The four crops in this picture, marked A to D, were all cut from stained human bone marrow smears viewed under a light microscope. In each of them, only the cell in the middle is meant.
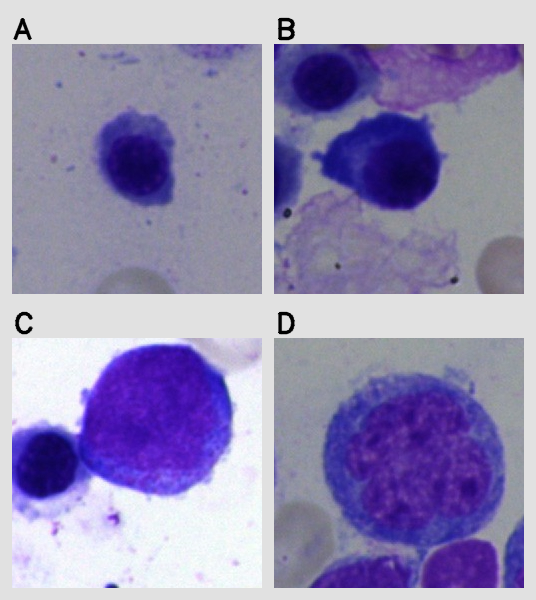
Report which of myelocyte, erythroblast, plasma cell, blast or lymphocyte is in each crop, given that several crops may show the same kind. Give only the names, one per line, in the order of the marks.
erythroblast
plasma cell
blast
blast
